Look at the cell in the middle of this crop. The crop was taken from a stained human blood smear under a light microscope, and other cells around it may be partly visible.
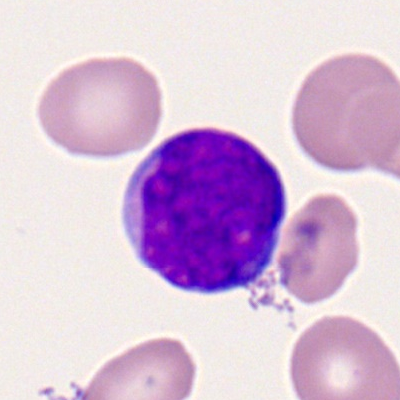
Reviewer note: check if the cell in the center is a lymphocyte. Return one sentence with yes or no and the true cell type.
No, the cell placed in the centre is a myeloblast and is not a lymphocyte.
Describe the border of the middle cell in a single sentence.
The outline traces a smooth curve with no projections along it.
